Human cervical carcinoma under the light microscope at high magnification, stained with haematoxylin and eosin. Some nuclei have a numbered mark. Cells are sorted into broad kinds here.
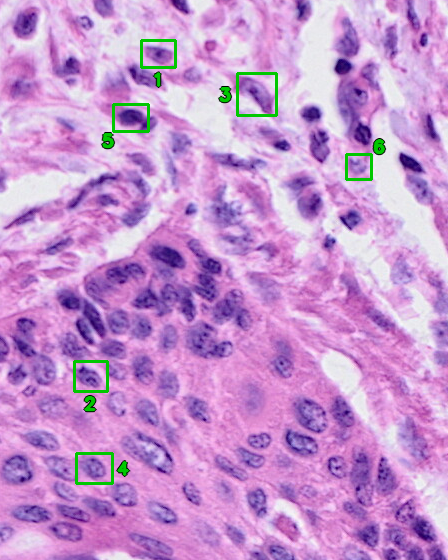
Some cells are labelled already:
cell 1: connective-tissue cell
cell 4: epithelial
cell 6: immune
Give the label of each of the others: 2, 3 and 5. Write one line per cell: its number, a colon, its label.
2: epithelial
3: connective-tissue cell
5: immune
